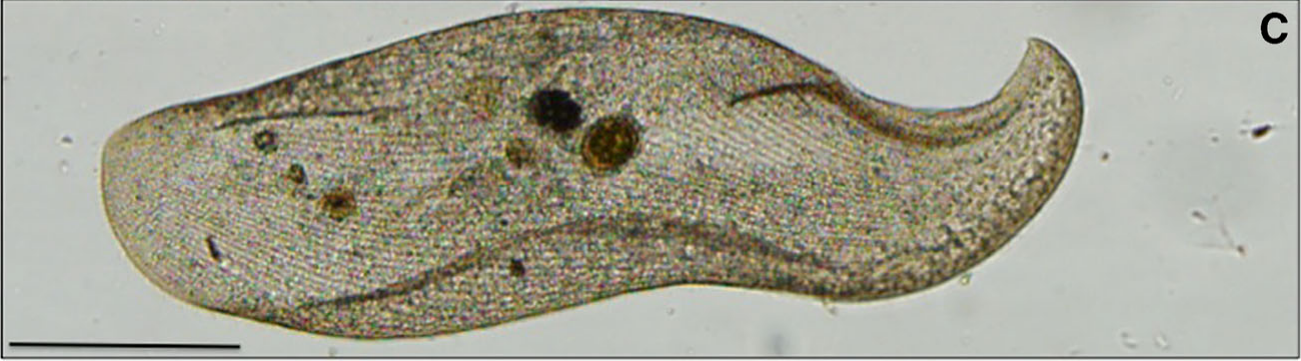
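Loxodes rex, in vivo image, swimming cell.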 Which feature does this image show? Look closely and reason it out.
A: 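Ciliary rows. The lines follow the curve of the elongated cell.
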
